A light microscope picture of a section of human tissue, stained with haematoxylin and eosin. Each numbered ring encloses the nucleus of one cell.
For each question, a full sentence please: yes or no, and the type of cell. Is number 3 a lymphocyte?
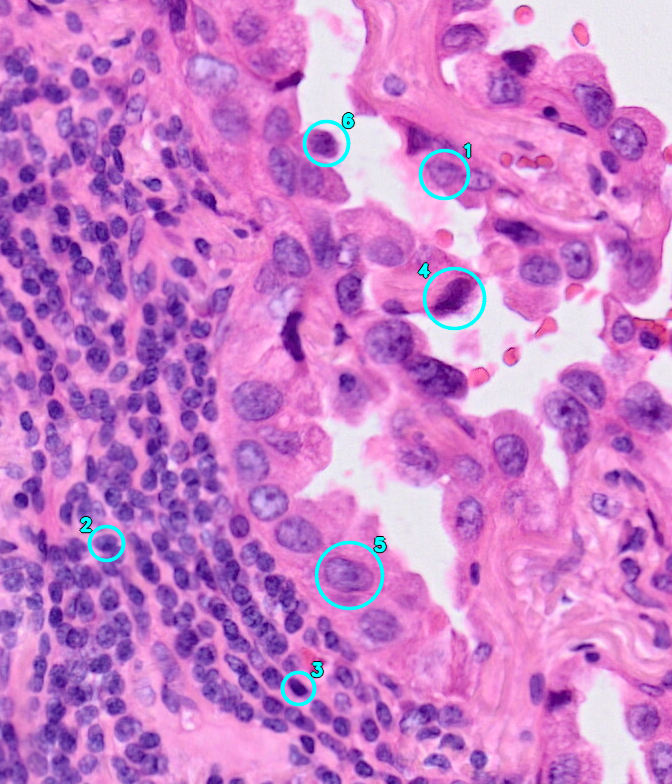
Yes, that is so; number 3 marks a lymphocyte.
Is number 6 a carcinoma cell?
Yes, the number 6 belongs to a carcinoma cell.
